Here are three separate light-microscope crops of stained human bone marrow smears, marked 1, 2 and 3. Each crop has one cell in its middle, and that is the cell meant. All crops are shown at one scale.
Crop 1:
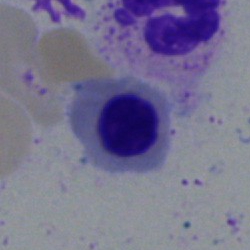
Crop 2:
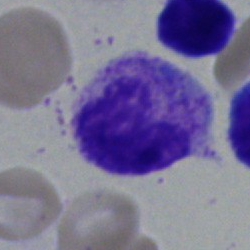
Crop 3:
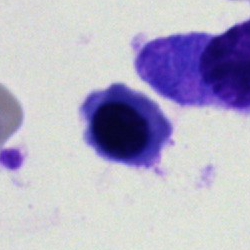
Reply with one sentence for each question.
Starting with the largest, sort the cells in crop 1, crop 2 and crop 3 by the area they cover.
Going down, they run 2, 1, 3.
